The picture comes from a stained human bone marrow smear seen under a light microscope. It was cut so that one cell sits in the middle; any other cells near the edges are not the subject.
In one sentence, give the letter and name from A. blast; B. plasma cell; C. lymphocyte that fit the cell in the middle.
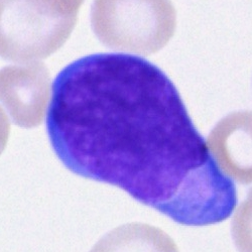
The middle of the crop holds a blast, which points to option A.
